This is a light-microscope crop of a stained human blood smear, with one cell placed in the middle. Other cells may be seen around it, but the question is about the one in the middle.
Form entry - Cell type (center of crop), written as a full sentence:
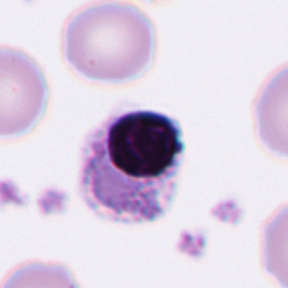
Located at the centre of the crop is an erythroblast.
